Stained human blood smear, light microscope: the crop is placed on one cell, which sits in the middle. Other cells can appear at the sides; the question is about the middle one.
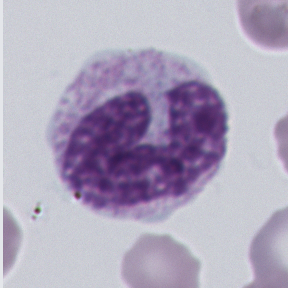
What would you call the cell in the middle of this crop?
band neutrophil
